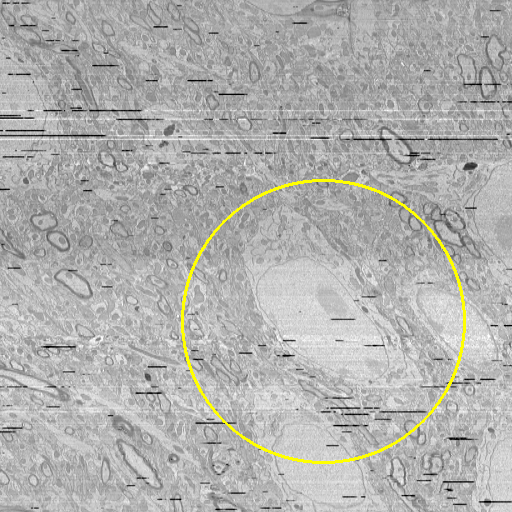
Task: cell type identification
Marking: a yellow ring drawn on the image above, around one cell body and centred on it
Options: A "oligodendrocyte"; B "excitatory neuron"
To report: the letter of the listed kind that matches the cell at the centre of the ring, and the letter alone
B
